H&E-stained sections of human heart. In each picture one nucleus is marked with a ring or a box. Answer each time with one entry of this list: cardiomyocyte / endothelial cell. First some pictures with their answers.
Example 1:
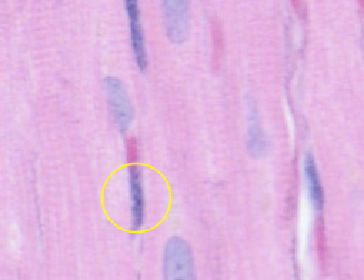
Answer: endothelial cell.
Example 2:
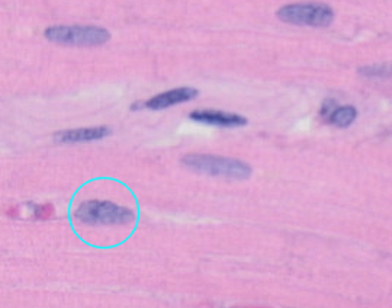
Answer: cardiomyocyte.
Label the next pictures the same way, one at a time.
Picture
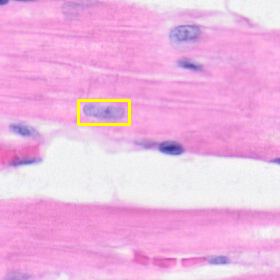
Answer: cardiomyocyte.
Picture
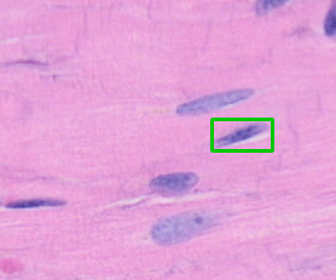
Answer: endothelial cell.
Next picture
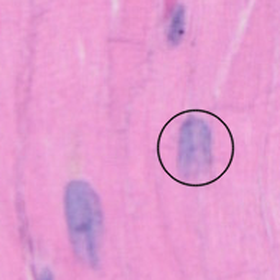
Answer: cardiomyocyte.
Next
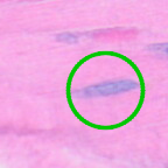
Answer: cardiomyocyte.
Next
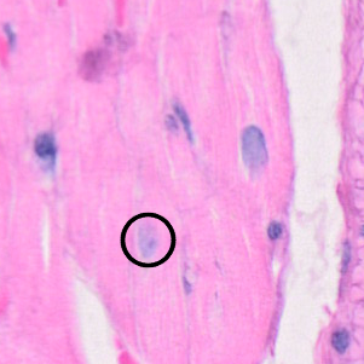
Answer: cardiomyocyte.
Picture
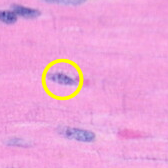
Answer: endothelial cell.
